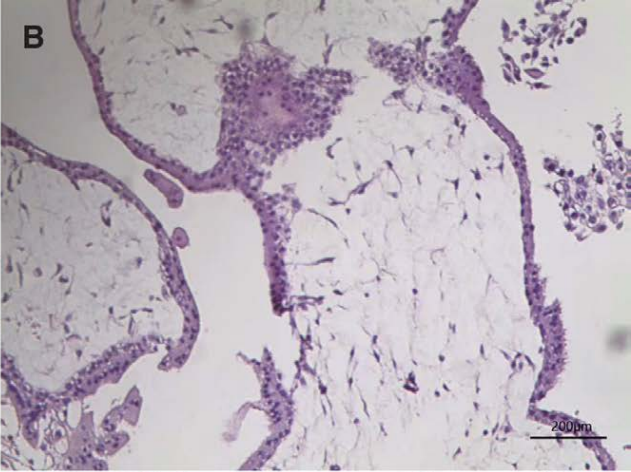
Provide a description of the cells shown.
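These are swollen chorionic villi with a pale, loose, edematous stroma, covered by trophoblast showing proliferation. The stroma holds scattered thin, stellate stromal cells in a clear background. The surface trophoblast forms a thickened, purple layer that in one place heaps up into a dense cluster of crowded cells with round nuclei. Small detached groups of cells float in the space beside the villi.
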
